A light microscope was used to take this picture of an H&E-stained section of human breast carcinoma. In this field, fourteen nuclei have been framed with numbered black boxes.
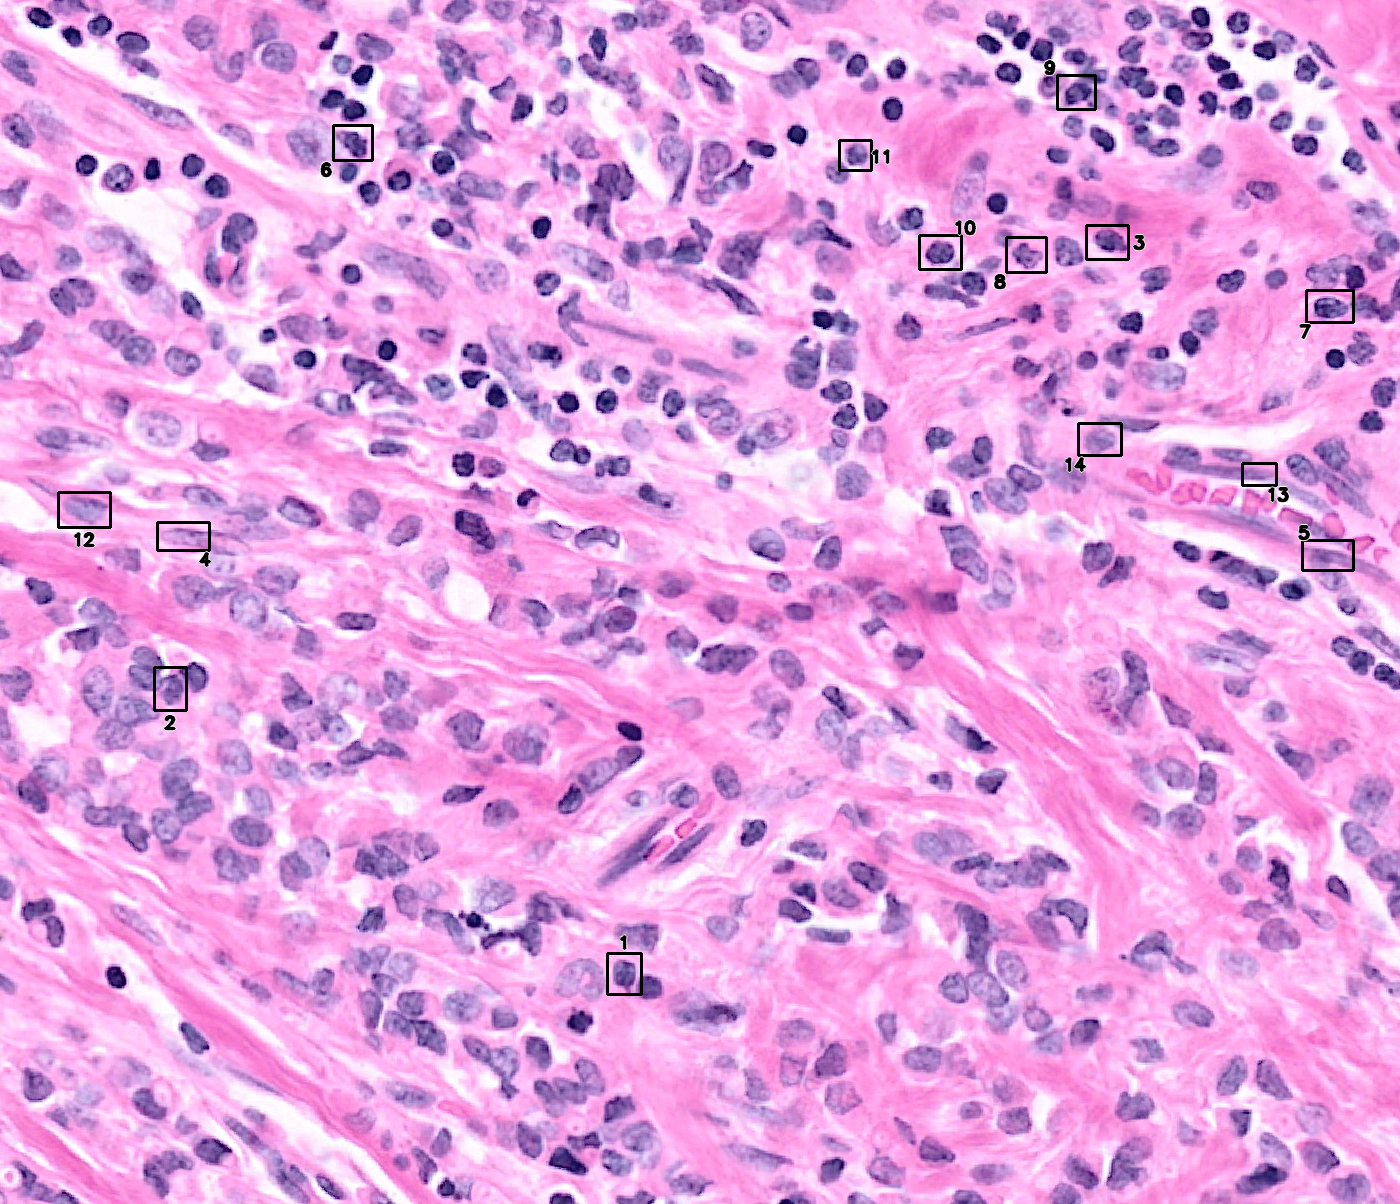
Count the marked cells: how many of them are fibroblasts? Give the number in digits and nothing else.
0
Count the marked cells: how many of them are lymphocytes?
8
